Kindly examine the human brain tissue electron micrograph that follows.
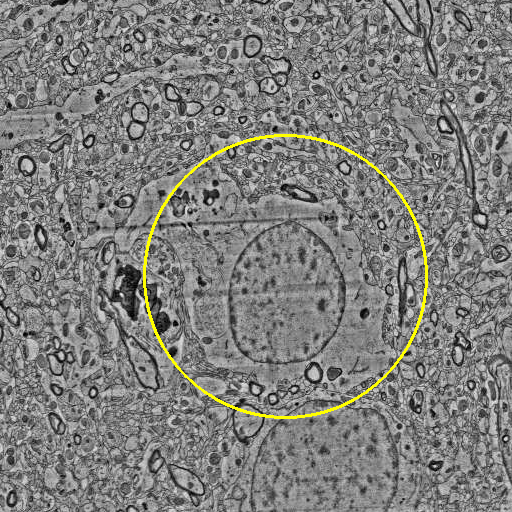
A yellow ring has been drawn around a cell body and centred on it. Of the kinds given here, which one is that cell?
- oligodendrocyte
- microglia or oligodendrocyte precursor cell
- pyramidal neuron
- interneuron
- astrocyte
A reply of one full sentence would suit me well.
The micrograph's ringed cell, the one at the ring's centre, is an astrocyte.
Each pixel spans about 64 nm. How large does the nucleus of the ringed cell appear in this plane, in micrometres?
In this plane the nucleus spans approximately 9 by 7 micrometers.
